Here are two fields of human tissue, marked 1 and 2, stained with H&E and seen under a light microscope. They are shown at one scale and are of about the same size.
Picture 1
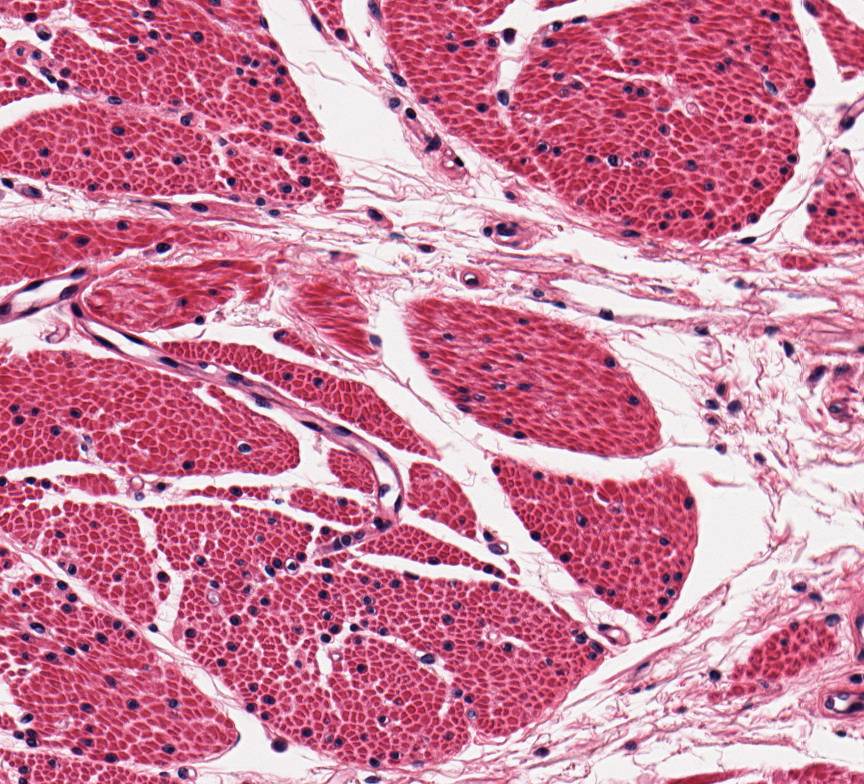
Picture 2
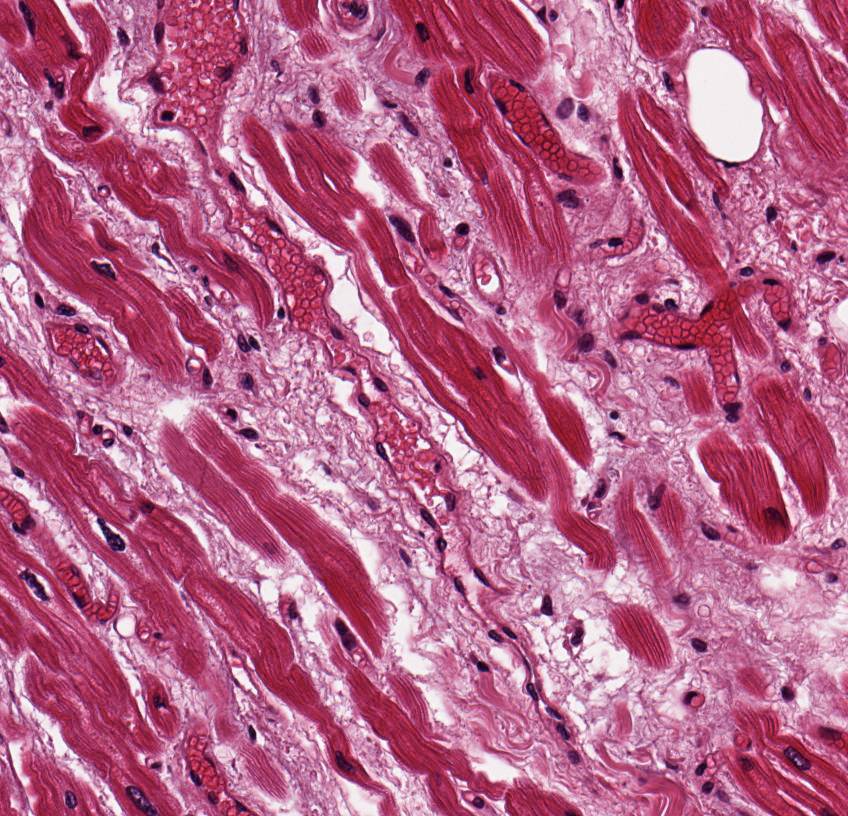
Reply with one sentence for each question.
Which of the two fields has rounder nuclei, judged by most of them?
Rounder nuclei lie in picture 1.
